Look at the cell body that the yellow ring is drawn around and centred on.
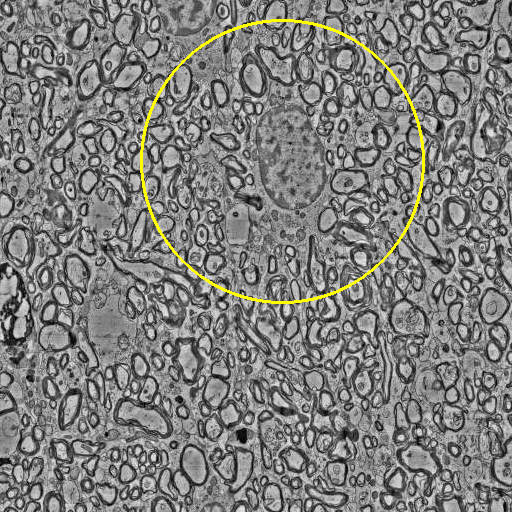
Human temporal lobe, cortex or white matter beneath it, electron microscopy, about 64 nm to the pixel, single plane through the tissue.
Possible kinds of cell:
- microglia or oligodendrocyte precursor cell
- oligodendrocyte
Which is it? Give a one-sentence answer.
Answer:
The centred cell body is that of an oligodendrocyte.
